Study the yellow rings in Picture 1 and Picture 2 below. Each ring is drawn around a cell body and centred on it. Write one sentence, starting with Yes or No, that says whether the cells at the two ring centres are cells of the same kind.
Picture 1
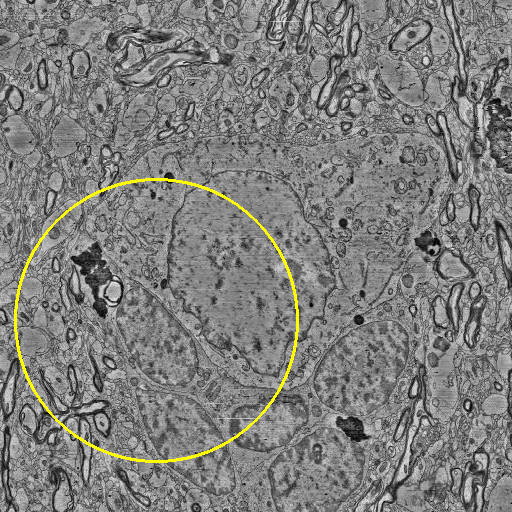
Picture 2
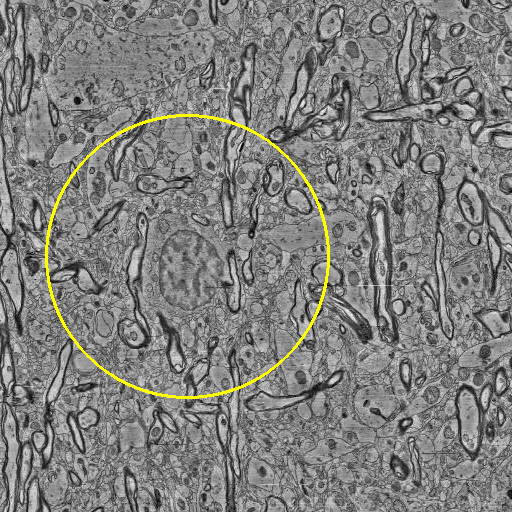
Yes, the cells at both ring centres are of the same kind.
